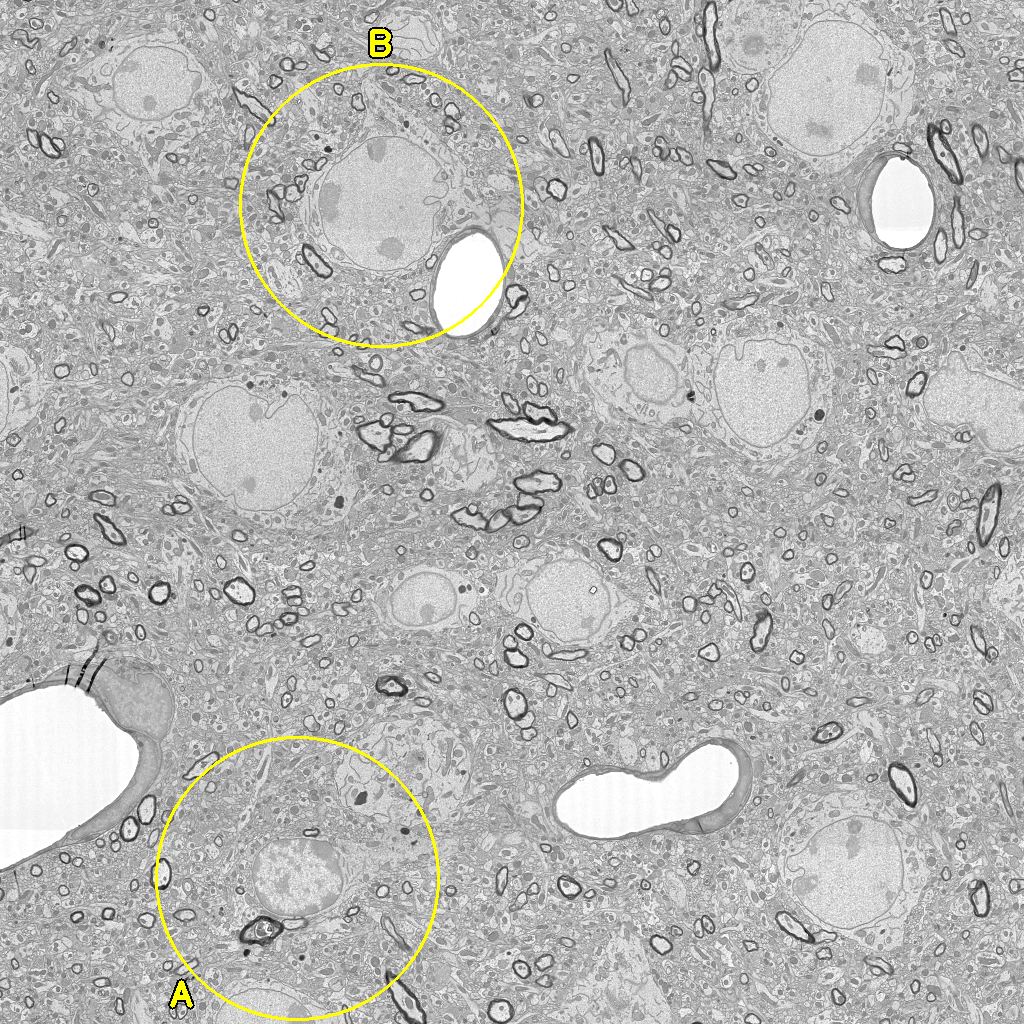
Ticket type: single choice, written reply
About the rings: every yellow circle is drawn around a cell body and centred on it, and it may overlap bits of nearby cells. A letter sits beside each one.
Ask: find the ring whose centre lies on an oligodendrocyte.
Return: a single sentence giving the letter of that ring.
At the centre of the ring marked A lies the cell asked for.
